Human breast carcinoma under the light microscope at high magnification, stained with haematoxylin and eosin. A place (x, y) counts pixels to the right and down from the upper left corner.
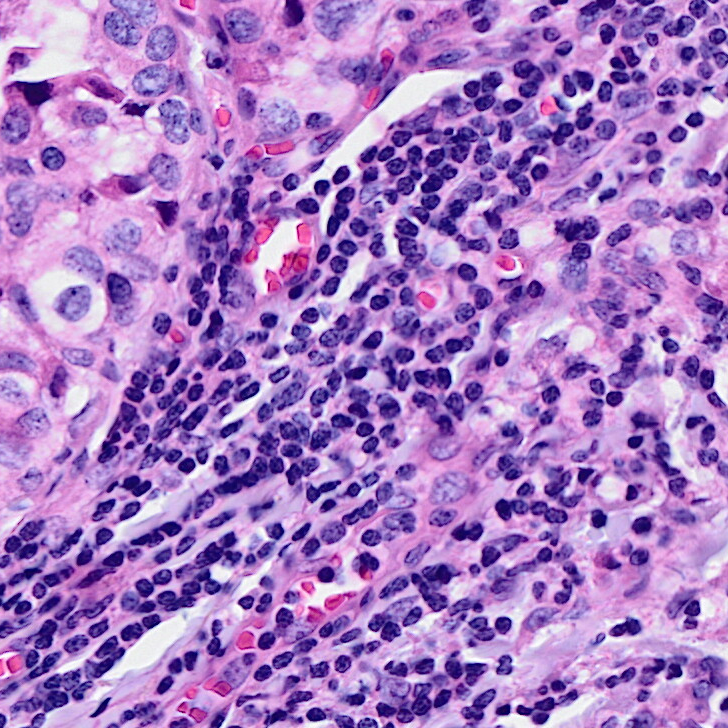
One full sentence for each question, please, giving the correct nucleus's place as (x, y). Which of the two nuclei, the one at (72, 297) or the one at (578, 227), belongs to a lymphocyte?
The one at (578, 227) is the nucleus belonging to a lymphocyte, not the other one.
